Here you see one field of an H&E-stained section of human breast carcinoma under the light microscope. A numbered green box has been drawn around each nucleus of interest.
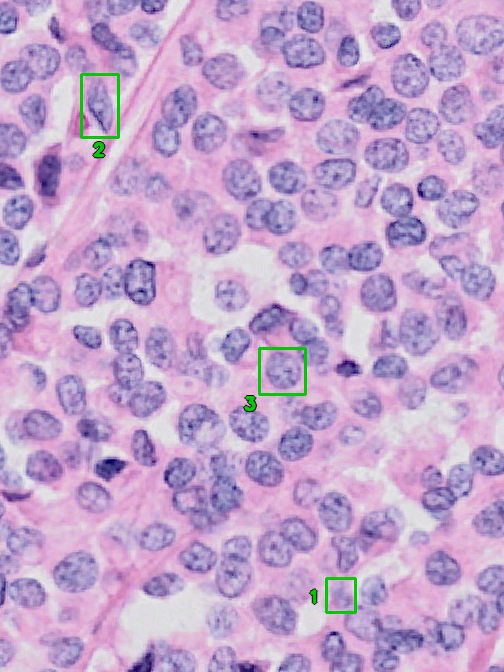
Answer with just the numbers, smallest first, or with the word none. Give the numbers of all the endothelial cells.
2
